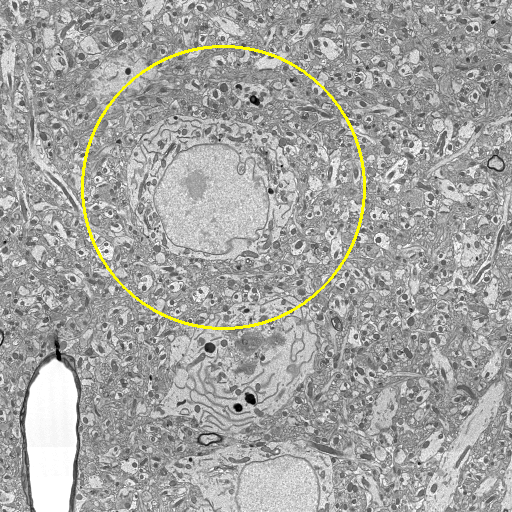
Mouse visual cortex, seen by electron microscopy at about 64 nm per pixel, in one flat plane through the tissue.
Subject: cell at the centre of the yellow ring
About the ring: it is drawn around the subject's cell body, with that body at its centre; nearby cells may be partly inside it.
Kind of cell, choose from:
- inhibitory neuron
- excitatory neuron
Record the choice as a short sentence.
The subject cell is an inhibitory neuron.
